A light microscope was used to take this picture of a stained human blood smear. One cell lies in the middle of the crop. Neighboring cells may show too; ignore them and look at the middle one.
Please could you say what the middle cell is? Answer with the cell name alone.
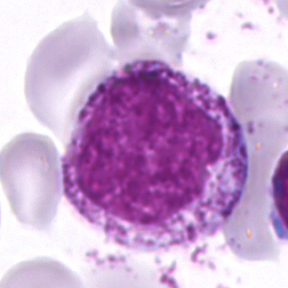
myelocyte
